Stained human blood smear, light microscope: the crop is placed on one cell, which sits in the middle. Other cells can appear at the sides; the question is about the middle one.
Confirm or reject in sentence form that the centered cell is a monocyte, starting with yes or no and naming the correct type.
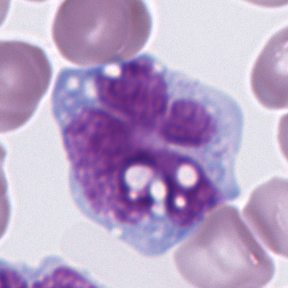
Yes, the central cell here is a monocyte.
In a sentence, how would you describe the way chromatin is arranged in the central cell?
What stands out is fine chromatin lacking any coarse clumps.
